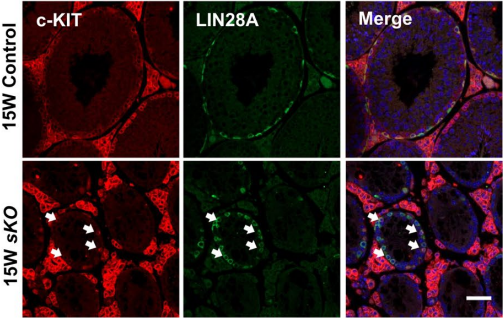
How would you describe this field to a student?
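Seminiferous tubules of the testis seen in cross-section. In the upper row a large tubule has a thick, many-layered epithelium around a lumen, with faint red staining and sparse green cells along its outer edge. In the lower row the tubules are small with thin walls of few cell layers, and the spaces between them are filled with strongly red-stained interstitial tissue.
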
